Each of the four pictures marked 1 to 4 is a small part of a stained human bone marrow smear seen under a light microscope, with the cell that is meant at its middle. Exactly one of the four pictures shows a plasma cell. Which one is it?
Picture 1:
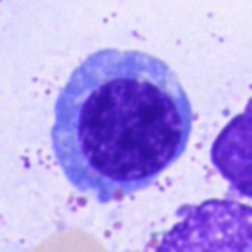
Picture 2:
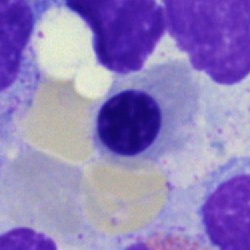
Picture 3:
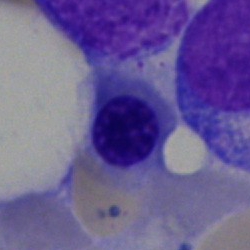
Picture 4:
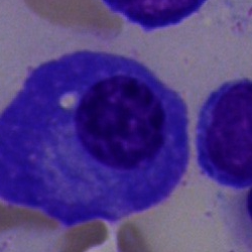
4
